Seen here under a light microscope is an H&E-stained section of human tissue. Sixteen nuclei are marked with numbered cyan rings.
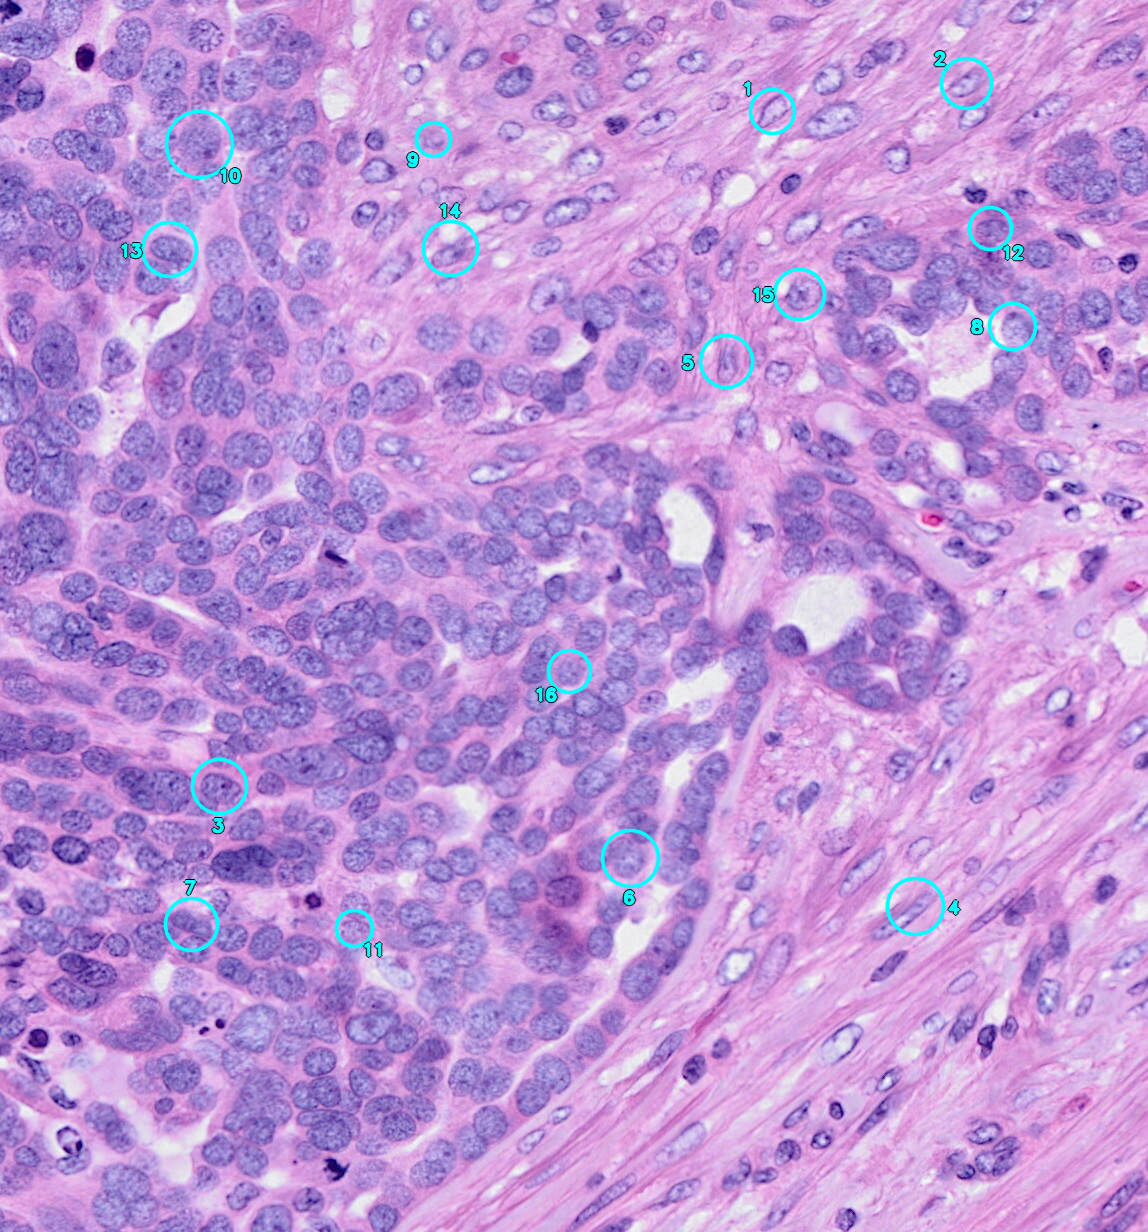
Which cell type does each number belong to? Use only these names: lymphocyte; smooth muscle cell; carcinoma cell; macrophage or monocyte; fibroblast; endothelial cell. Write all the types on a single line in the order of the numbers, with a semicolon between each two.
fibroblast; fibroblast; carcinoma cell; fibroblast; fibroblast; carcinoma cell; carcinoma cell; carcinoma cell; fibroblast; carcinoma cell; carcinoma cell; carcinoma cell; carcinoma cell; fibroblast; fibroblast; carcinoma cell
